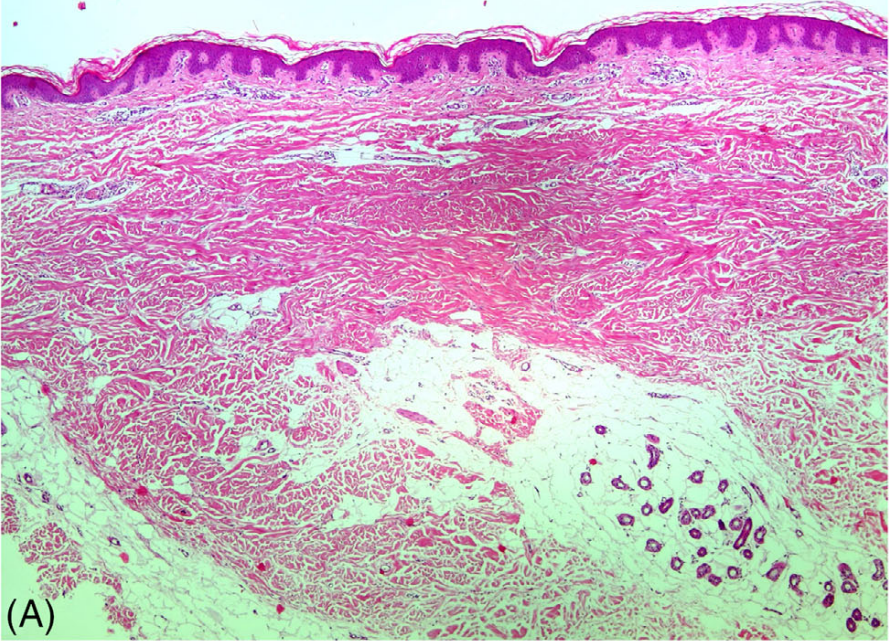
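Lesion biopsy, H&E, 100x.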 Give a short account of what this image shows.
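Skin with an intact stratified squamous epidermis showing regular rete ridges and a thin keratin layer. The reticular dermis beneath is occupied by thick, densely packed pink collagen bundles, and deeper down the bundles border fat, where a cluster of small eccrine gland tubules lies at the lower right.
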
